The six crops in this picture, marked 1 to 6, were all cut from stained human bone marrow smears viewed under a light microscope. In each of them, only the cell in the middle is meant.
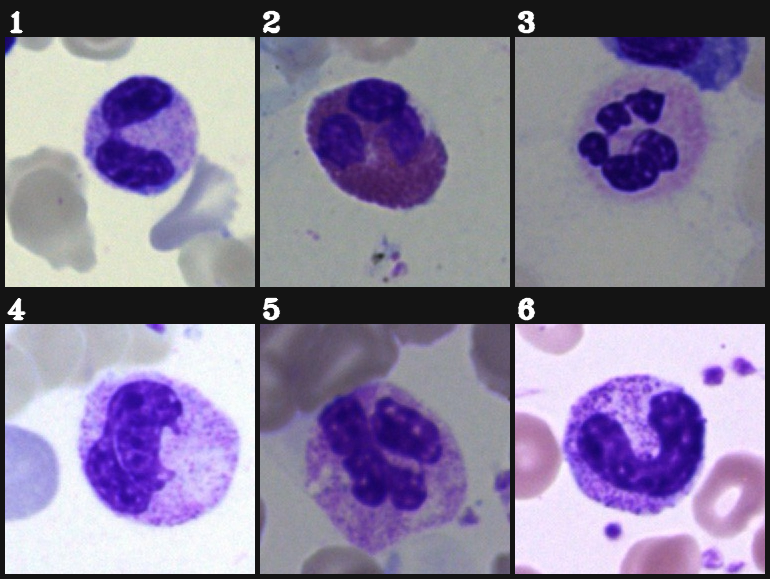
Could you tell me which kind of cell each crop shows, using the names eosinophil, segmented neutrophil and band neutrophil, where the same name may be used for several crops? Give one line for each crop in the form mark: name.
1: segmented neutrophil
2: eosinophil
3: segmented neutrophil
4: band neutrophil
5: segmented neutrophil
6: band neutrophil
